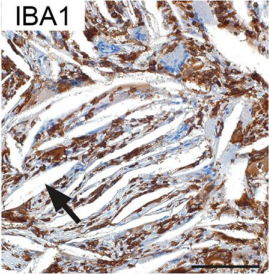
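Long, narrow, clear needle-shaped slits with pointed ends crowd the field, and the tissue between them is packed with large, dark brown-stained cells with abundant cytoplasm, interspersed with pale blue areas. These empty slits are cholesterol clefts, closely surrounded by stained cells.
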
